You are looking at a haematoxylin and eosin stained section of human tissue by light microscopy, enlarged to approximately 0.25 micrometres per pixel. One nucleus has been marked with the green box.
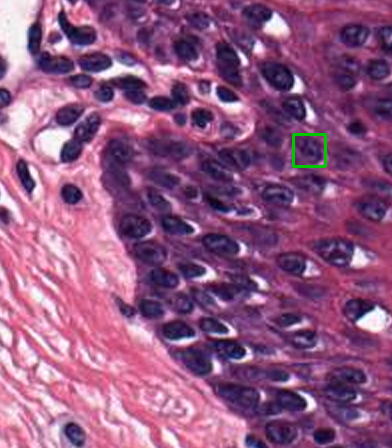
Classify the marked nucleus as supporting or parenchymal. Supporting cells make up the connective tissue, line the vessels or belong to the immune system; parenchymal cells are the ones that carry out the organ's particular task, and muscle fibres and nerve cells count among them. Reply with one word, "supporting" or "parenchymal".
parenchymal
